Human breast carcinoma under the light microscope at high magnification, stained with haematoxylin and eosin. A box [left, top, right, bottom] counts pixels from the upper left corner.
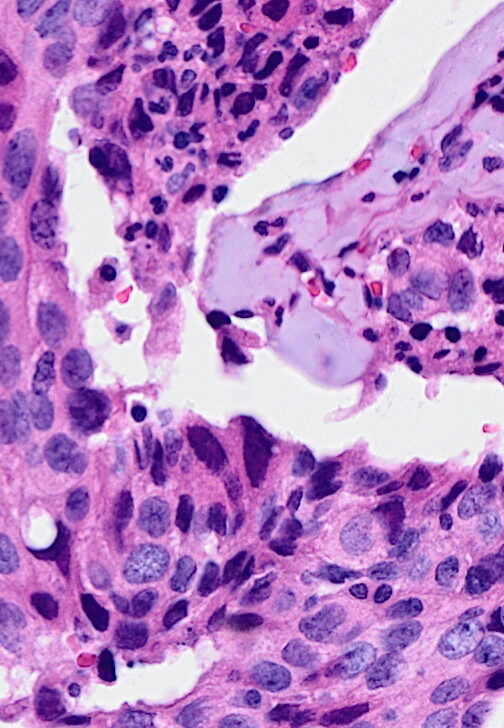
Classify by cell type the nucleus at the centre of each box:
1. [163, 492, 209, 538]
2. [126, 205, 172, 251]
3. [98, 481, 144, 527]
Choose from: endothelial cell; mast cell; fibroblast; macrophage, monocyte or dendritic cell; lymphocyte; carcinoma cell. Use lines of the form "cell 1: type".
cell 1: carcinoma cell
cell 2: lymphocyte
cell 3: carcinoma cell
